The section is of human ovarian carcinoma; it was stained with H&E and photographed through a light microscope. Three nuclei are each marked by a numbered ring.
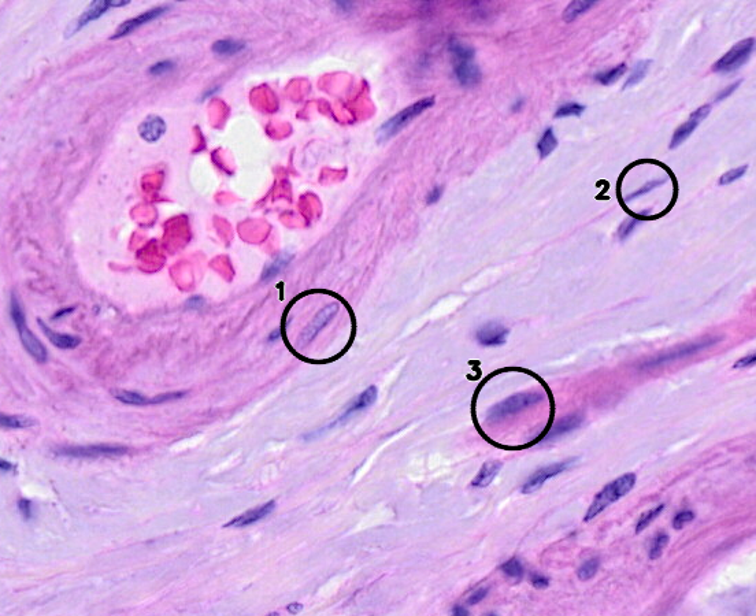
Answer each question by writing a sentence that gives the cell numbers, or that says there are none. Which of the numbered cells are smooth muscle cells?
The cells with labels 1 and 3 are smooth muscle cells.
